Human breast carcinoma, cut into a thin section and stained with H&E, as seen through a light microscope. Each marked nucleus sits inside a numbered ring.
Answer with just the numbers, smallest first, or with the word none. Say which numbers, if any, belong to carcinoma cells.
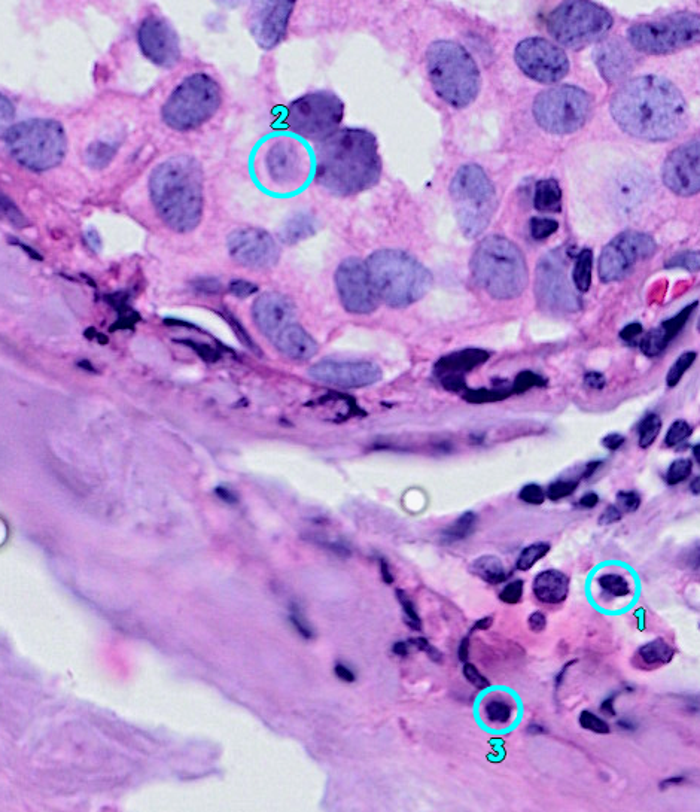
2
